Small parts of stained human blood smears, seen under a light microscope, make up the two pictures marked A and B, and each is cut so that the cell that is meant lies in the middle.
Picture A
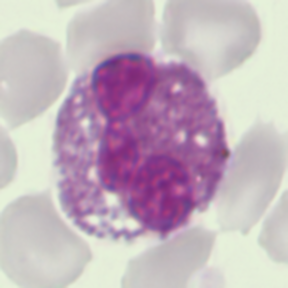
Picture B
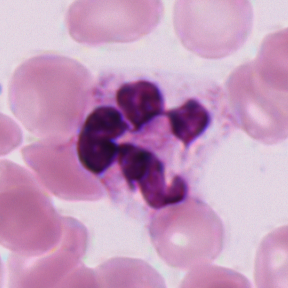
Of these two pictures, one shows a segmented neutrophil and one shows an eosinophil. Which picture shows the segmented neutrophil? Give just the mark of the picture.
B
